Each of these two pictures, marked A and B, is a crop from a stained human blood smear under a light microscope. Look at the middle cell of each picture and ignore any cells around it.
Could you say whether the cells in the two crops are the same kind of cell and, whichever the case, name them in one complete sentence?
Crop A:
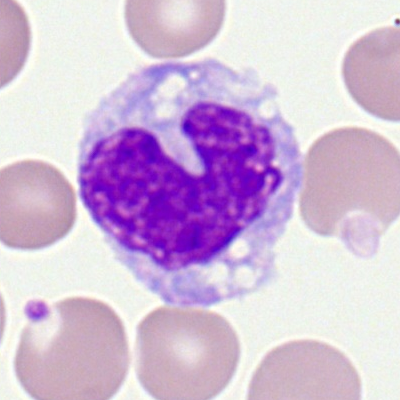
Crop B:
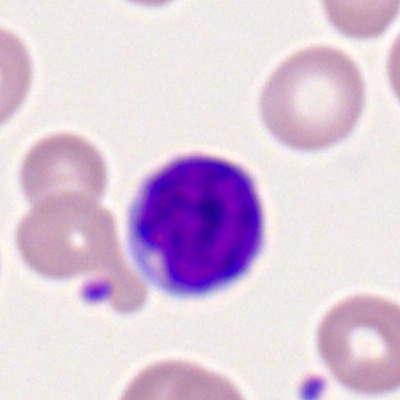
No, crop A is where a monocyte is, and crop B is where a lymphocyte is.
